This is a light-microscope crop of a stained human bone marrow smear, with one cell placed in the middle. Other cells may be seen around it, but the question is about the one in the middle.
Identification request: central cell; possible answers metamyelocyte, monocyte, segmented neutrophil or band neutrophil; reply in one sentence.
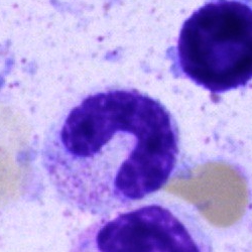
Here the cell in the middle is a band neutrophil.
